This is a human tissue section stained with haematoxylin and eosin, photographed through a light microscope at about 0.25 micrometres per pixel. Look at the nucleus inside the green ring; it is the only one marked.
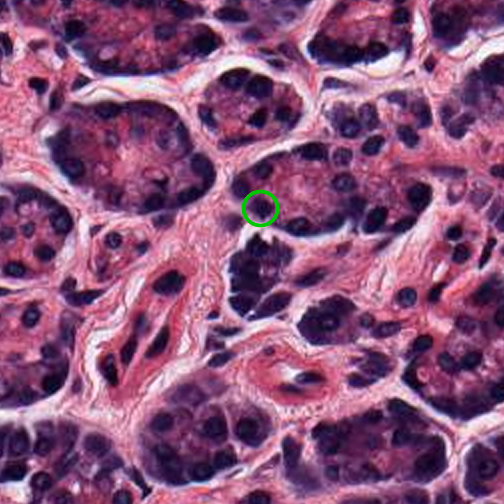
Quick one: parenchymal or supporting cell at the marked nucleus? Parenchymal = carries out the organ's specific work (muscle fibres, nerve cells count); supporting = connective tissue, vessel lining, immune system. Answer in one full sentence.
The marked nucleus is the nucleus of a pancreatic acinar cell, a cell of the parenchyma.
